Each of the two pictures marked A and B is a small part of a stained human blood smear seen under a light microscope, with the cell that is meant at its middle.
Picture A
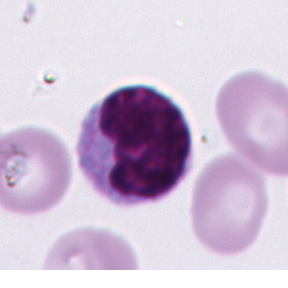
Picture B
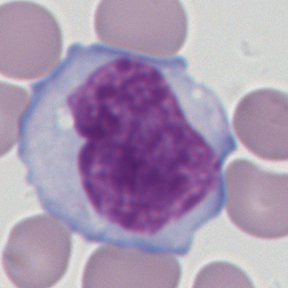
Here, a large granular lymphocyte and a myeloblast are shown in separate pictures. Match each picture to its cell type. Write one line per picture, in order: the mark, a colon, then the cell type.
A: large granular lymphocyte
B: myeloblast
